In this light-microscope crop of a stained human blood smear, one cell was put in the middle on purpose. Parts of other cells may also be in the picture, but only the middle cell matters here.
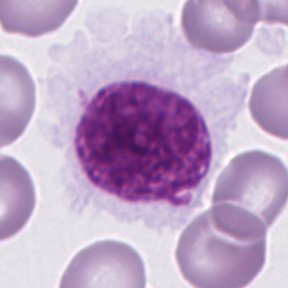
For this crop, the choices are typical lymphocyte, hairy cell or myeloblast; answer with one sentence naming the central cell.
The cell featured at the centre of this crop is a hairy cell.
